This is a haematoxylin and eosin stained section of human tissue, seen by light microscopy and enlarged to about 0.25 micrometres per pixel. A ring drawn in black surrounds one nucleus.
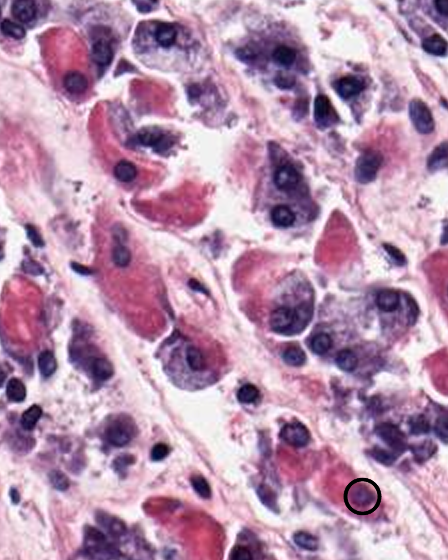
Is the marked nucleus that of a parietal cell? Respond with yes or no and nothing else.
yes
